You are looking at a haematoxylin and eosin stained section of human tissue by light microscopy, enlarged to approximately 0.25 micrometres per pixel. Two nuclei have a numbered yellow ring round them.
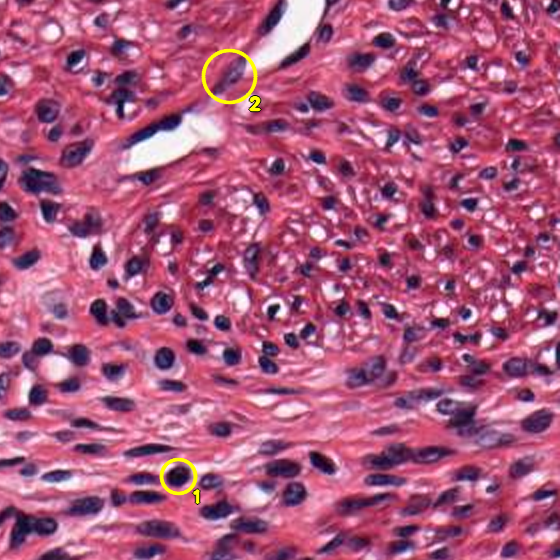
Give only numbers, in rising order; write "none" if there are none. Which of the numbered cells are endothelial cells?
2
